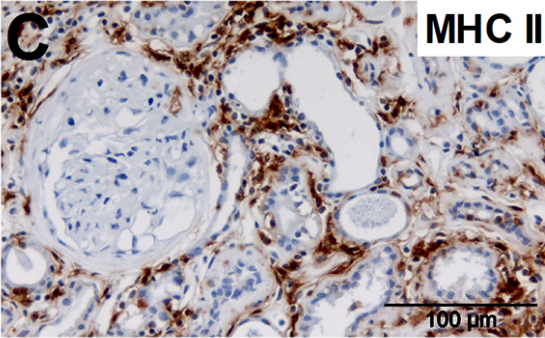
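In this kidney section a glomerulus and several tubules, some dilated, are set in a widened interstitium heavily filled with brown-stained cells. The stained cells have irregular, elongated or branching shapes and wrap around the tubules, while the glomerular tuft itself remains largely unstained. The infiltrate is dense and crowds the spaces between tubules.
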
